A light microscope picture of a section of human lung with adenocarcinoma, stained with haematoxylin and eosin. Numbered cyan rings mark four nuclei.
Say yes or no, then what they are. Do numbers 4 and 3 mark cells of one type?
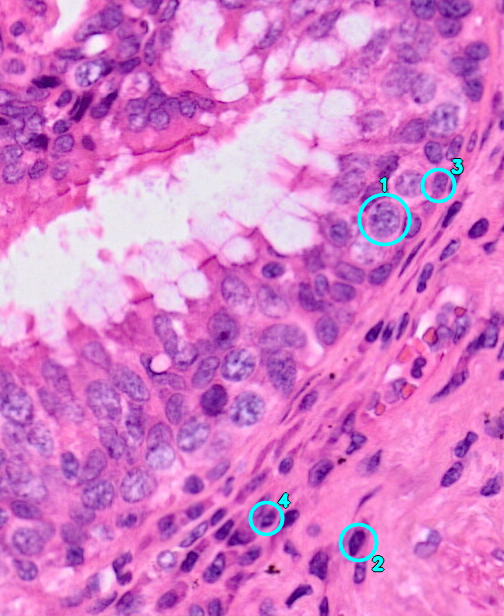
No; whereas cell 4 is a plasma cell, cell 3 is a ciliated epithelial cell.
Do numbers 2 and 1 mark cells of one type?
No, cell 2 is a plasma cell and cell 1 is a ciliated epithelial cell.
